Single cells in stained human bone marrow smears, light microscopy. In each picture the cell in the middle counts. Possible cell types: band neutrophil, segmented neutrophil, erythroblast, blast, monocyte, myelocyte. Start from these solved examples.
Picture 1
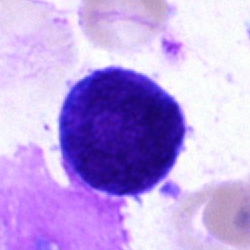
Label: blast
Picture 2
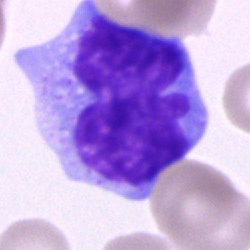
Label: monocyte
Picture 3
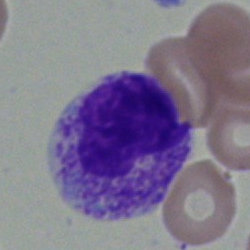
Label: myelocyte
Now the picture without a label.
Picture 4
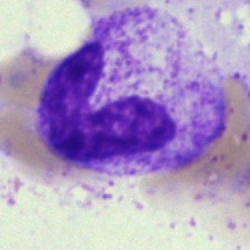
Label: band neutrophil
